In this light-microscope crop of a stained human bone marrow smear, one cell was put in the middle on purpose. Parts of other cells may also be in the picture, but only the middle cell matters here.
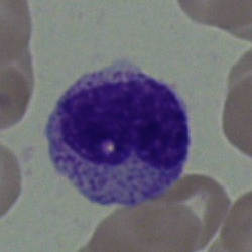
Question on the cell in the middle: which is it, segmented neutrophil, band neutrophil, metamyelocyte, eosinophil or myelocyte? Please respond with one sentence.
This crop has a metamyelocyte at its centre.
